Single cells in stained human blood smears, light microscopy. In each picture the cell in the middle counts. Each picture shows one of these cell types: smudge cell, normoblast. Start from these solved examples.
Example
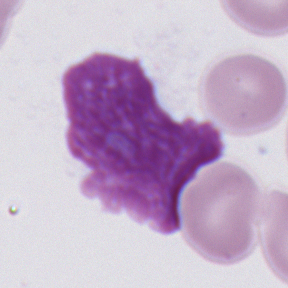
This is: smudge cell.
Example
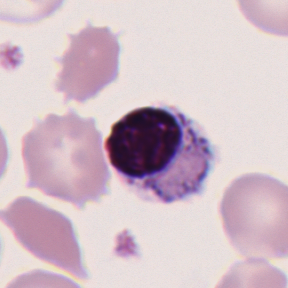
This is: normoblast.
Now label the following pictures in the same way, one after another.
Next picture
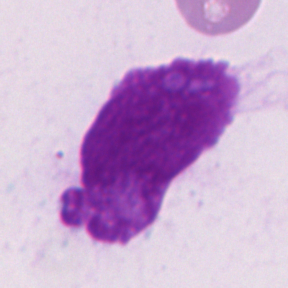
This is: smudge cell.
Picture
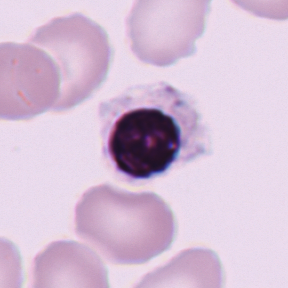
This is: normoblast.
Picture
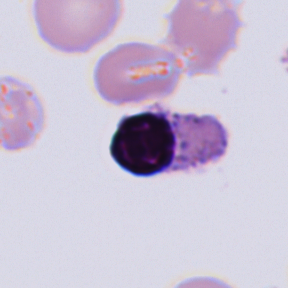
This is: normoblast.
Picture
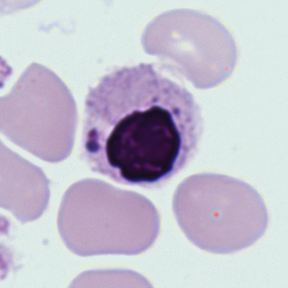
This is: normoblast.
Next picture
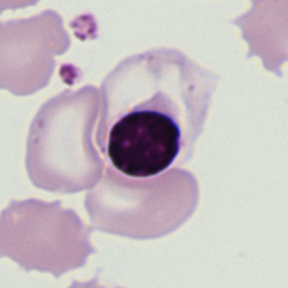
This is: normoblast.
